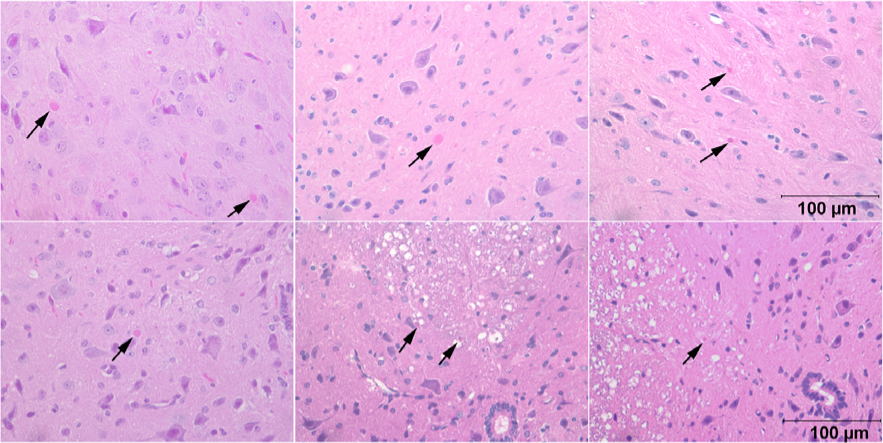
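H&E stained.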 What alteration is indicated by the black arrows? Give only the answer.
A: axonal degeneration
